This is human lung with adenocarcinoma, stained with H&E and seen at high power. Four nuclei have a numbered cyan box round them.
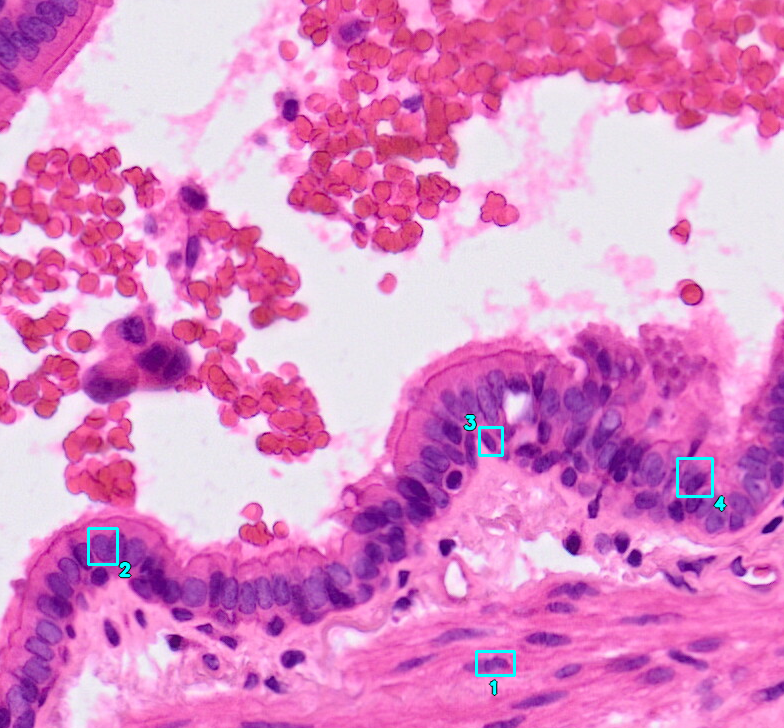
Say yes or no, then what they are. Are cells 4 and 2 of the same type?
Yes, both cell 4 and cell 2 are classified as ciliated epithelial cells.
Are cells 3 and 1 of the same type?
No, the right answer is a ciliated epithelial cell for cell 3 and a smooth muscle cell or pericyte for cell 1.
